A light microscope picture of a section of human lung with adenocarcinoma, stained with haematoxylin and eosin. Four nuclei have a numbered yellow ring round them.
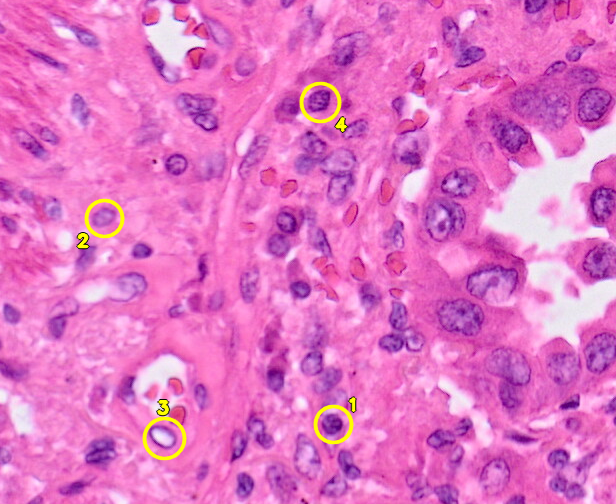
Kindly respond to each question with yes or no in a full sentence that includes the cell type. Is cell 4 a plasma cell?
Yes, the cell identified as number 4 is a plasma cell.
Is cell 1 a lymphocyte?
Yes, the cell sitting at number 1 is a lymphocyte.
